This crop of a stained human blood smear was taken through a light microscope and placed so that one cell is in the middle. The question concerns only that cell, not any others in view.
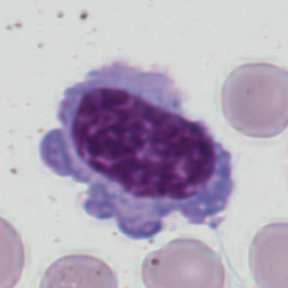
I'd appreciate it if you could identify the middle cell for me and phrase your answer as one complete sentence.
The cell of interest, in the center, is a plasma cell.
